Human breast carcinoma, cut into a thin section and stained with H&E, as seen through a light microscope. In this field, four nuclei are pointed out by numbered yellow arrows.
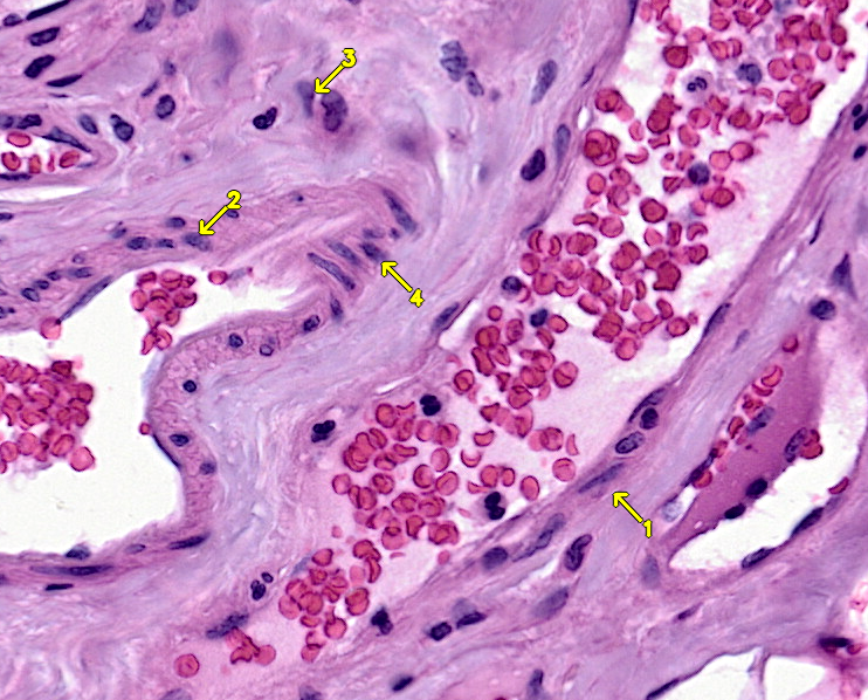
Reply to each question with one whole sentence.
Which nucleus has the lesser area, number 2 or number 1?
Nucleus 2 is the smaller one; nucleus 1 covers about 2 times its area.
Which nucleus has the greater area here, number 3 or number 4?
Of the two, number 3 is bigger and takes up about 2 times the area of number 4.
